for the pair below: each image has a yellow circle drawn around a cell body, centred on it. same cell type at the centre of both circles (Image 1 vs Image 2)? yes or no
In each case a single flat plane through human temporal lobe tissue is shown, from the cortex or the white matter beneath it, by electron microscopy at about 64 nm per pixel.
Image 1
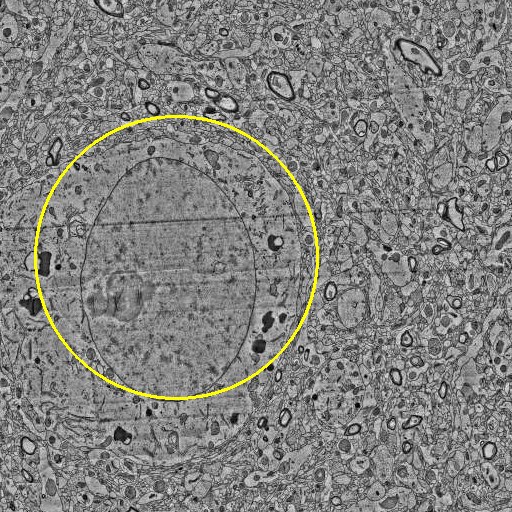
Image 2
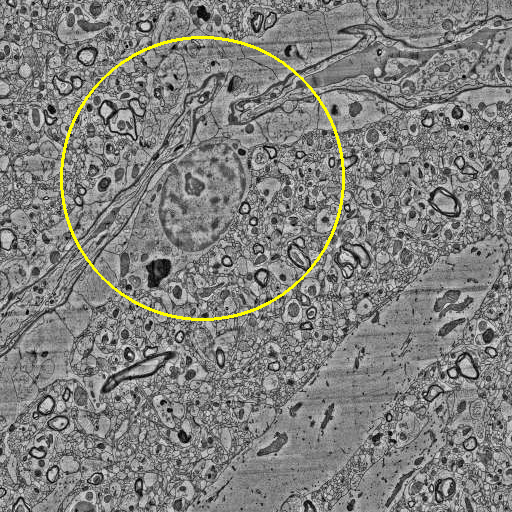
no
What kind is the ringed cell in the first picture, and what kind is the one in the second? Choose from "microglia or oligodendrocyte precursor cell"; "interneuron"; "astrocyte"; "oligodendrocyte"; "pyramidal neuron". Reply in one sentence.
The first cell is a pyramidal neuron; the second is an oligodendrocyte.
